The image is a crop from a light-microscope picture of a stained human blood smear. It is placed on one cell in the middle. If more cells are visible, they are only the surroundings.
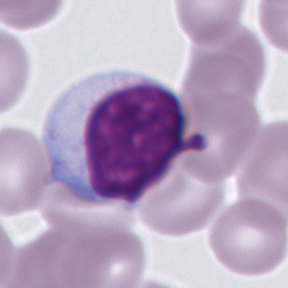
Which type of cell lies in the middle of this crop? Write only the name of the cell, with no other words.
large granular lymphocyte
